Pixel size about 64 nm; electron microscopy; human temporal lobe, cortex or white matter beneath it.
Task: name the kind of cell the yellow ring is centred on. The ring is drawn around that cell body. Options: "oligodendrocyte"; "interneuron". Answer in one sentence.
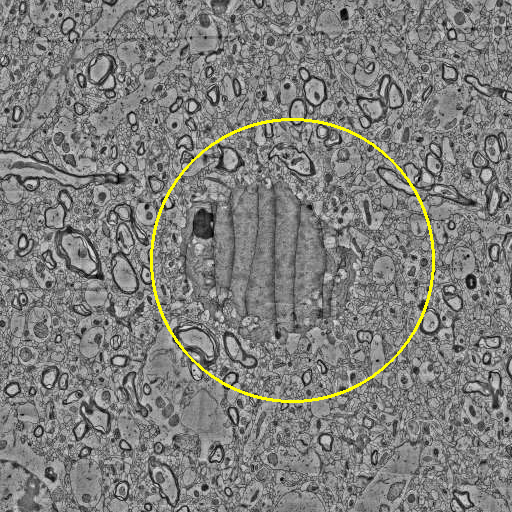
This cell body belongs to an interneuron.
